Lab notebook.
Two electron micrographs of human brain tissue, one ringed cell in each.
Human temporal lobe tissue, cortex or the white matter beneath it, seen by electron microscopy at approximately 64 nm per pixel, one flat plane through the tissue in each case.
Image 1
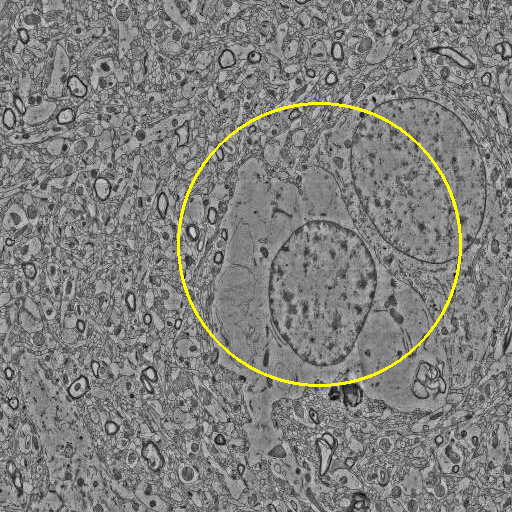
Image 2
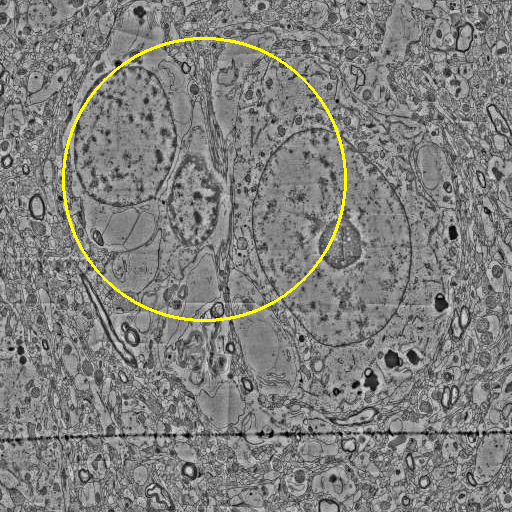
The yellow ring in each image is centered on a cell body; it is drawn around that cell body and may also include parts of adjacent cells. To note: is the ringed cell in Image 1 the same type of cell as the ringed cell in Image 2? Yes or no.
yes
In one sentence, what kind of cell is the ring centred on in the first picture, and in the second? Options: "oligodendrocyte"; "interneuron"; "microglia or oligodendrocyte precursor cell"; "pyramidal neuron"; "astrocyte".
Each cell at the centre of a ring is an astrocyte.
